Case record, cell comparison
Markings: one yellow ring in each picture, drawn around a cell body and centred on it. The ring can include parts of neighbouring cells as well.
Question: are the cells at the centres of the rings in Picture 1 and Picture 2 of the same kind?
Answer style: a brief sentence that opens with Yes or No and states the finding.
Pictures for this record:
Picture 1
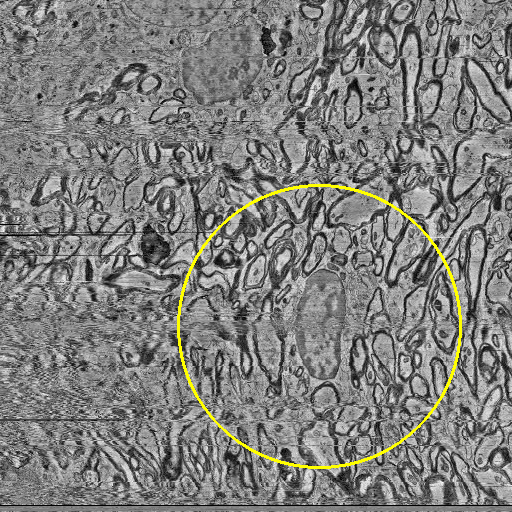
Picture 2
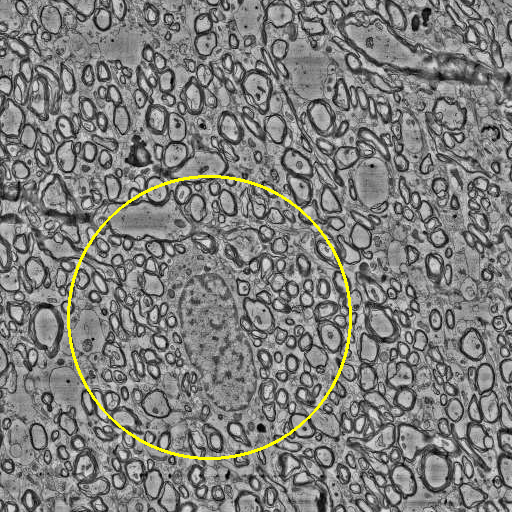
No, the cells in Picture 1 and Picture 2 are of two kinds.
